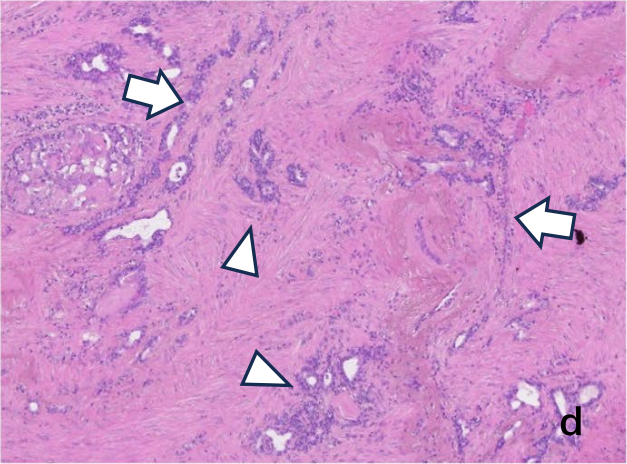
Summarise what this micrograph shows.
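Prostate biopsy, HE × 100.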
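Many small, irregular glands lined by cells with dark purple nuclei are crowded within abundant pink fibromuscular stroma. Some glands are fused or sieve-like with several lumina, and elsewhere small solid clusters and thin cords of cells infiltrate the stroma with little or no lumen.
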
